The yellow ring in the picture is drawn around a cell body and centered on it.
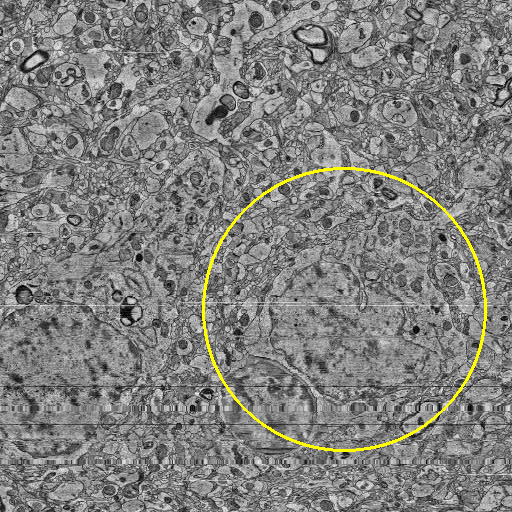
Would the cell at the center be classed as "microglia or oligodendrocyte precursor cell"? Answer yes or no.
No, it belongs to another class.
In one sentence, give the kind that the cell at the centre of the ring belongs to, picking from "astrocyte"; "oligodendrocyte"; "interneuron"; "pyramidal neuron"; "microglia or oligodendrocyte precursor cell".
Sitting at the ring centre is an interneuron.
